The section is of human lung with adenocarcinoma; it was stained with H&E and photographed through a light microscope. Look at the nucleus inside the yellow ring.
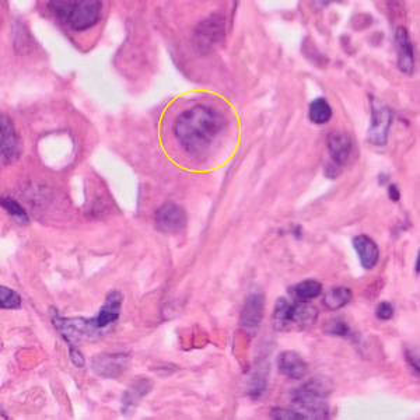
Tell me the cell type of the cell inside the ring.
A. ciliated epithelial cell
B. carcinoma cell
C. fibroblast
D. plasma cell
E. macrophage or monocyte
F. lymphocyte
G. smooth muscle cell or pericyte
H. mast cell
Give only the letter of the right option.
B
